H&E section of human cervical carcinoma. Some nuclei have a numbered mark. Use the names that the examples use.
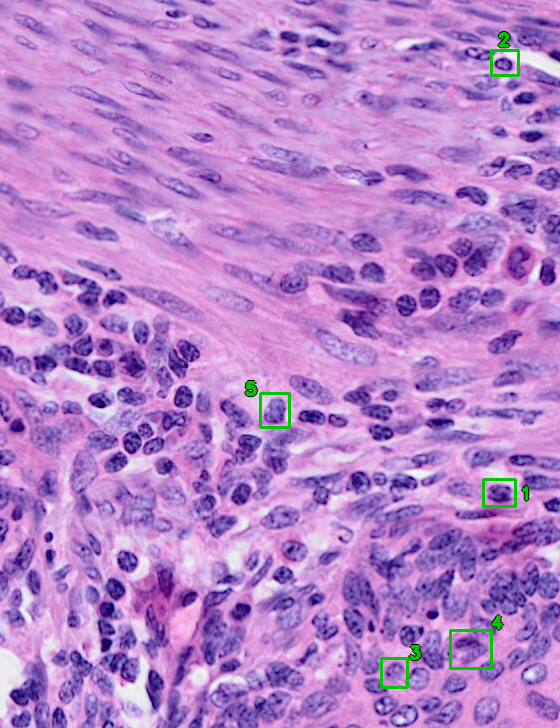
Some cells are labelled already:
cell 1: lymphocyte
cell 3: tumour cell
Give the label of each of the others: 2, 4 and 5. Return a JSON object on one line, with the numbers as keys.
{"2": "lymphocyte", "4": "tumour cell", "5": "lymphocyte"}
